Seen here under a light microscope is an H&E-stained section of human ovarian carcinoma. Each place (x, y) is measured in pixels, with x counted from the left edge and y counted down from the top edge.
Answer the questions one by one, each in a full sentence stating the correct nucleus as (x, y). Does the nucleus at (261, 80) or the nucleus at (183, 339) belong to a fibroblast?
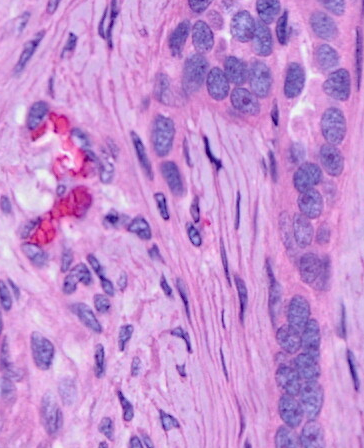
The nucleus at (183, 339) is the one of the two that belongs to a fibroblast.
